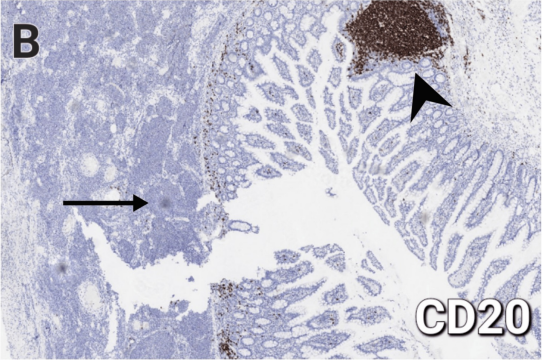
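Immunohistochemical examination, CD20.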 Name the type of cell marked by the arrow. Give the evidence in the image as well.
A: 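Tumor cells. The arrow points into a broad, uniform sheet of densely packed cells beneath the glandular mucosa. The sheet is blue, without brown stain.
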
